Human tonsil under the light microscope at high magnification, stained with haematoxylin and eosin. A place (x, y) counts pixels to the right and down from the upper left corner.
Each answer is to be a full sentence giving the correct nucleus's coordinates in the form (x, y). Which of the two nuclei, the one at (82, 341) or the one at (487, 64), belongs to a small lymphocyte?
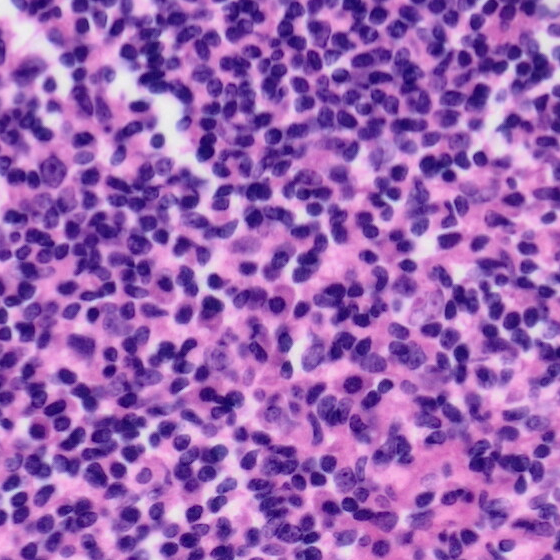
At (487, 64) lies the nucleus that belongs to a small lymphocyte.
